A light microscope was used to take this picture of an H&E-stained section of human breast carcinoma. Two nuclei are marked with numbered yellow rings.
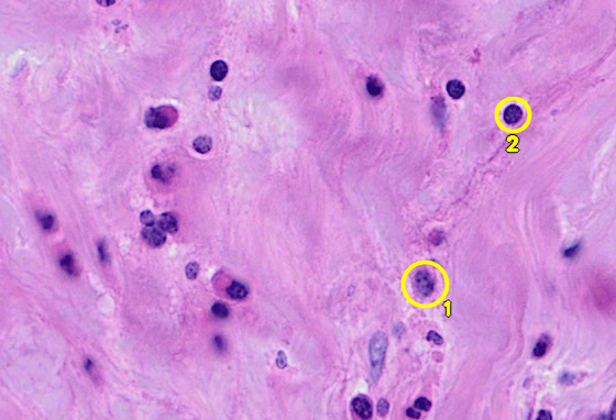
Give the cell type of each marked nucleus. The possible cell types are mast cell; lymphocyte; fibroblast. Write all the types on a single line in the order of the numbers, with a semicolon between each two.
mast cell; lymphocyte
